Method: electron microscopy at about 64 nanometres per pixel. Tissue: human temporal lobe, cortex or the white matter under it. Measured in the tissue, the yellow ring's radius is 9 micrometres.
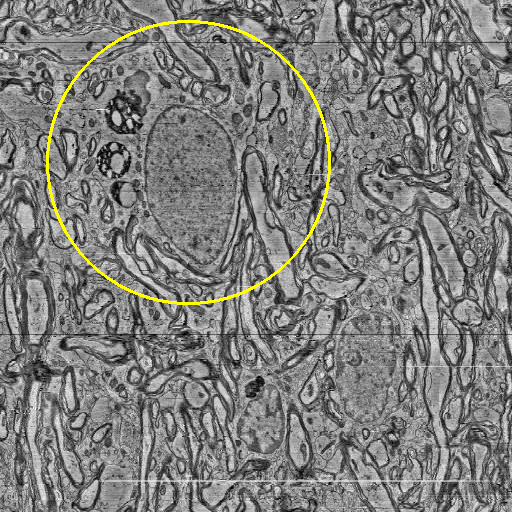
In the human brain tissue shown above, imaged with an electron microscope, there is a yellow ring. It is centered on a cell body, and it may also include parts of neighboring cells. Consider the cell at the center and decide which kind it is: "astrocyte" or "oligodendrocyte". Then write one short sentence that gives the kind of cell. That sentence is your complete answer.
This centered cell body is that of an astrocyte.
